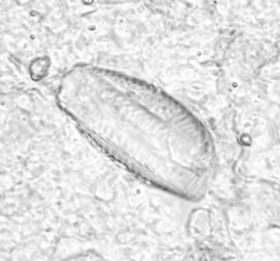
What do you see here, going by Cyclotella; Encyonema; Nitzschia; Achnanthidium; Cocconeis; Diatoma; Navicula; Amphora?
I see Encyonema.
